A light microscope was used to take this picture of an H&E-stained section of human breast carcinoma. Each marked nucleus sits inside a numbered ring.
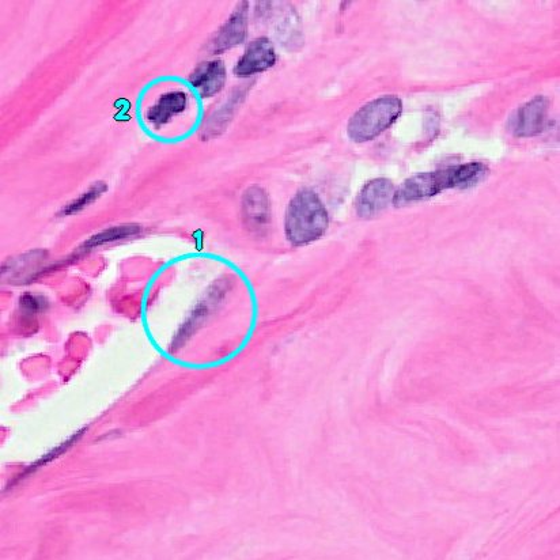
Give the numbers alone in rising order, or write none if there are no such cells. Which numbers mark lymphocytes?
2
